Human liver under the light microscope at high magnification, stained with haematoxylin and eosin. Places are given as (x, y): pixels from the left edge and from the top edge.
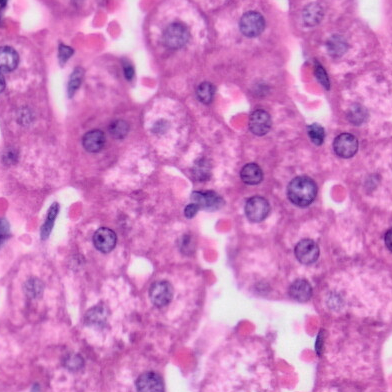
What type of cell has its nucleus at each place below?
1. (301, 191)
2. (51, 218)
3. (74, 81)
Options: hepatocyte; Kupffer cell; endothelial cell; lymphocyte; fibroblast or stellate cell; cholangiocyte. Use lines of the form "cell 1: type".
cell 1: hepatocyte
cell 2: Kupffer cell
cell 3: Kupffer cell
